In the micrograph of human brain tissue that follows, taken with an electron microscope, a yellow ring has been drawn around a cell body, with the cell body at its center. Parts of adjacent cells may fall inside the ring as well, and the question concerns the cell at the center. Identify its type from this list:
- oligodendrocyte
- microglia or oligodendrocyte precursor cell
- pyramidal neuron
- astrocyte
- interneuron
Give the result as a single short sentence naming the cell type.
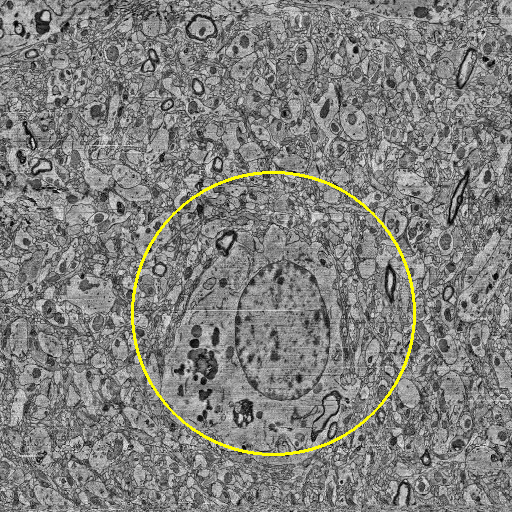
The ring is centered on an astrocyte.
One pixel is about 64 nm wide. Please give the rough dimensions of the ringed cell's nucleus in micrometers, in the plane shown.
Approximately 9 micrometres long and 6 micrometres wide, so clearly longer than it is wide in this plane.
